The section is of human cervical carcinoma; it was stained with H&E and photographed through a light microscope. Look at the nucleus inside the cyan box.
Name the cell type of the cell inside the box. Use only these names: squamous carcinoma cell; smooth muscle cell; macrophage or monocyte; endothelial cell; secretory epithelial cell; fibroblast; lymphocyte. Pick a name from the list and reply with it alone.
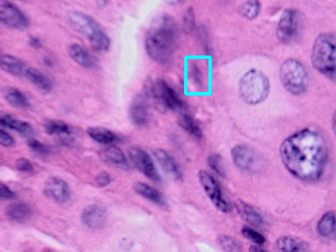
squamous carcinoma cell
